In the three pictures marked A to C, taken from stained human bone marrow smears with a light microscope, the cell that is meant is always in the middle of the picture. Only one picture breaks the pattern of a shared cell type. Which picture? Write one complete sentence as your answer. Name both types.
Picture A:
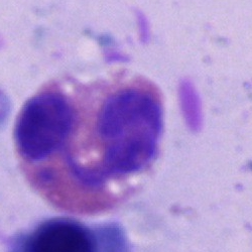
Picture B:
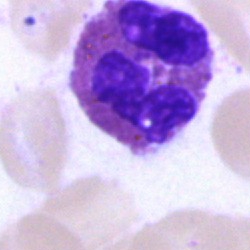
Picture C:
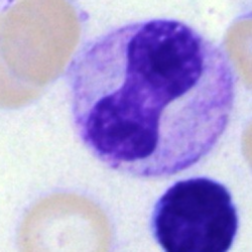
Unlike the rest, which show eosinophils, picture C shows a band neutrophil.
